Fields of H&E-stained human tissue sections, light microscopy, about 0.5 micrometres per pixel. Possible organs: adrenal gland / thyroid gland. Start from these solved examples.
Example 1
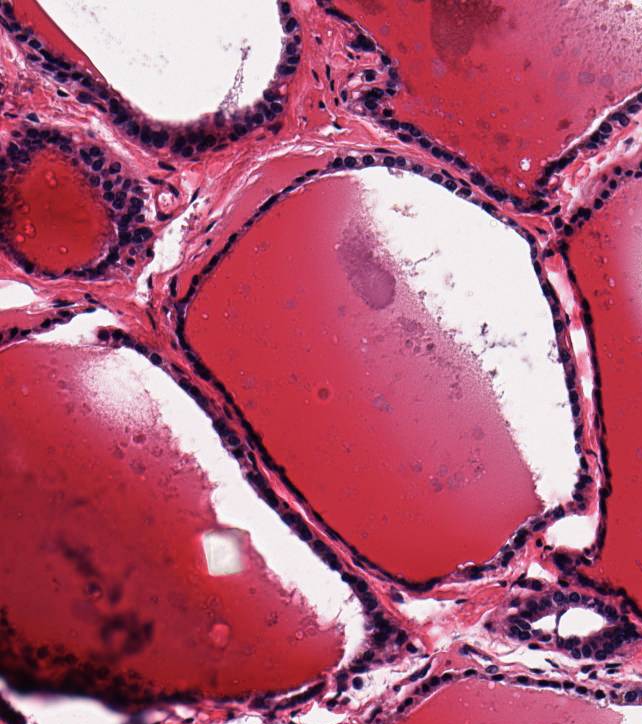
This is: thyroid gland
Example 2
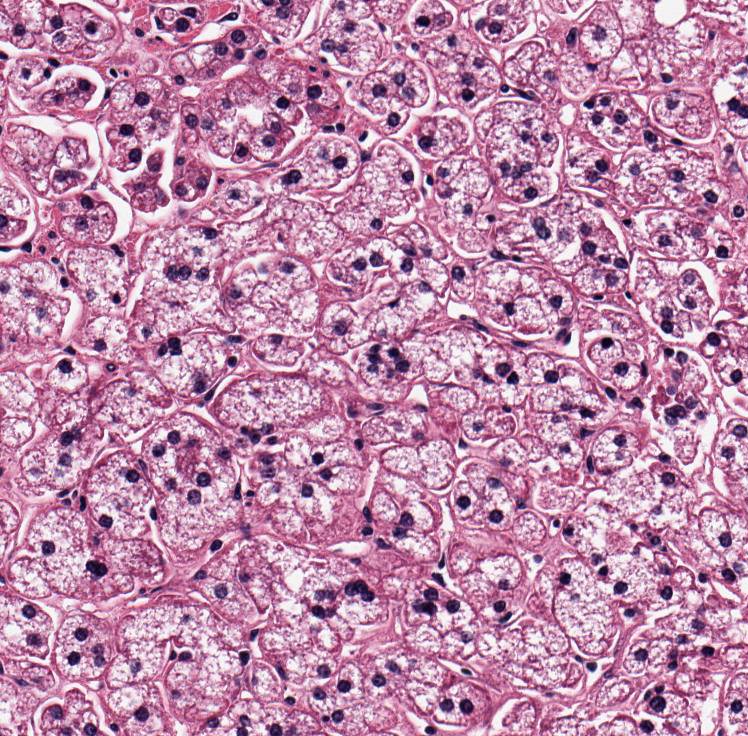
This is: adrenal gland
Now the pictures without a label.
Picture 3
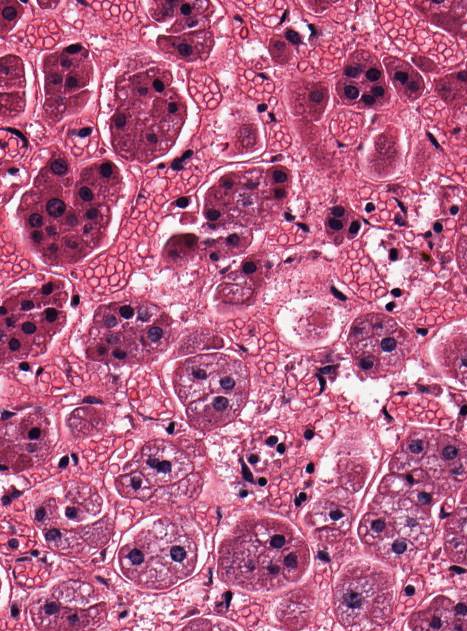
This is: adrenal gland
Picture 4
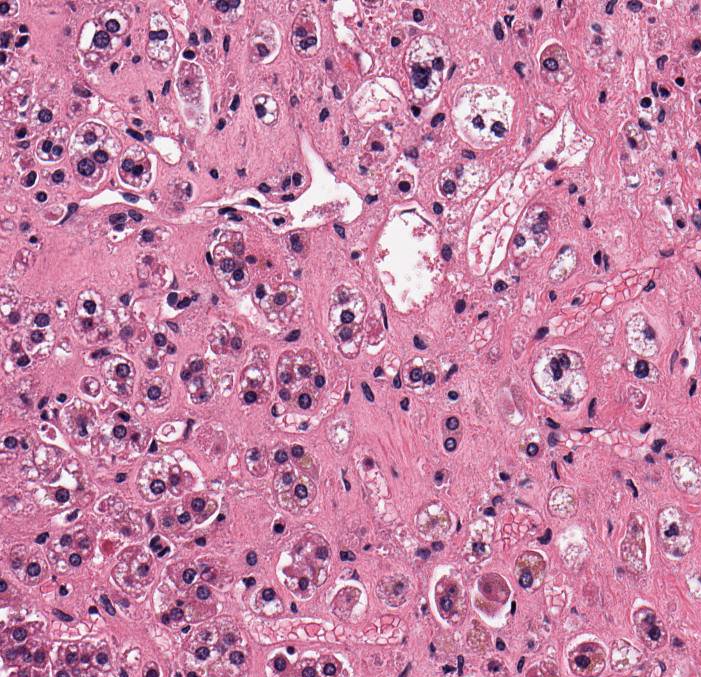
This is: adrenal gland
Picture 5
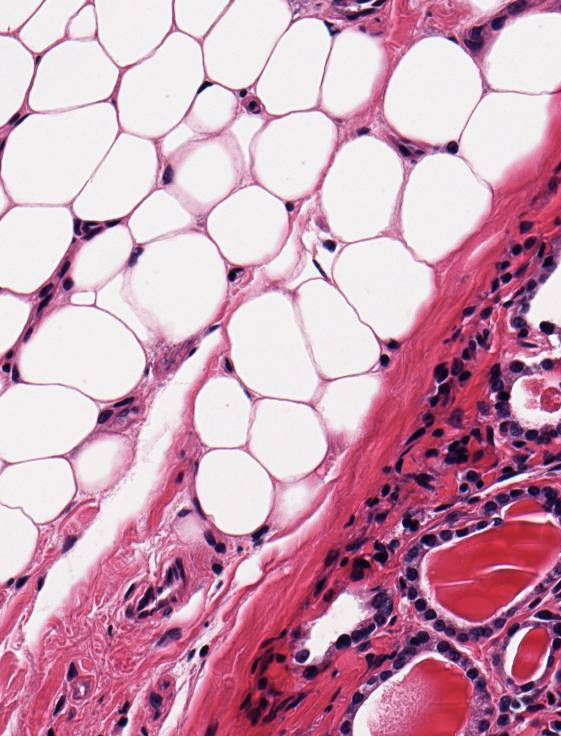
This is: thyroid gland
